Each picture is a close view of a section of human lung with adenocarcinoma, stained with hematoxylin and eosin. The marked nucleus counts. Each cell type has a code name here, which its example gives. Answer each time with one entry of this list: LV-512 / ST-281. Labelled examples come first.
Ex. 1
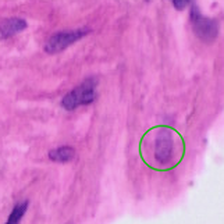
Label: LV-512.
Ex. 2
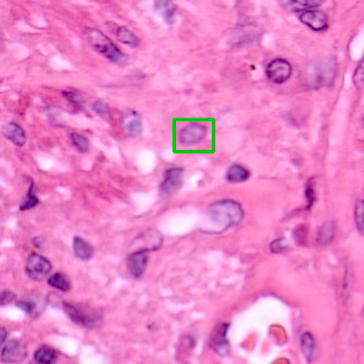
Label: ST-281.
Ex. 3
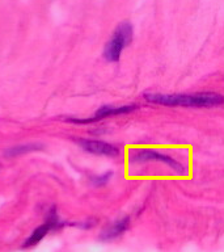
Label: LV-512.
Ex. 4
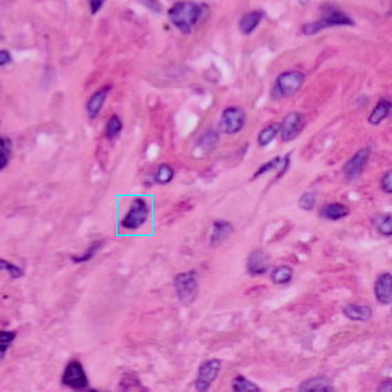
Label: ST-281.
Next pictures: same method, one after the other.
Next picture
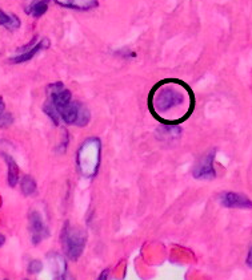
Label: ST-281.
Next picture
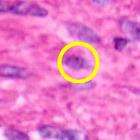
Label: LV-512.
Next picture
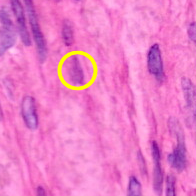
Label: LV-512.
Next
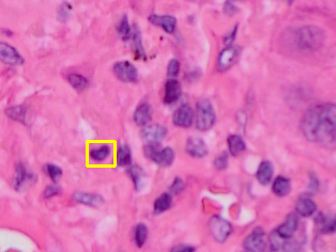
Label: ST-281.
